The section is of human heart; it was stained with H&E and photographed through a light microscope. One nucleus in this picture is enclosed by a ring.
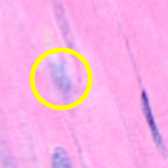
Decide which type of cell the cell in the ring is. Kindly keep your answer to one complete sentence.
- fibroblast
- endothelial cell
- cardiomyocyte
At the level of cell identity, the cell in the ring is a cardiomyocyte.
